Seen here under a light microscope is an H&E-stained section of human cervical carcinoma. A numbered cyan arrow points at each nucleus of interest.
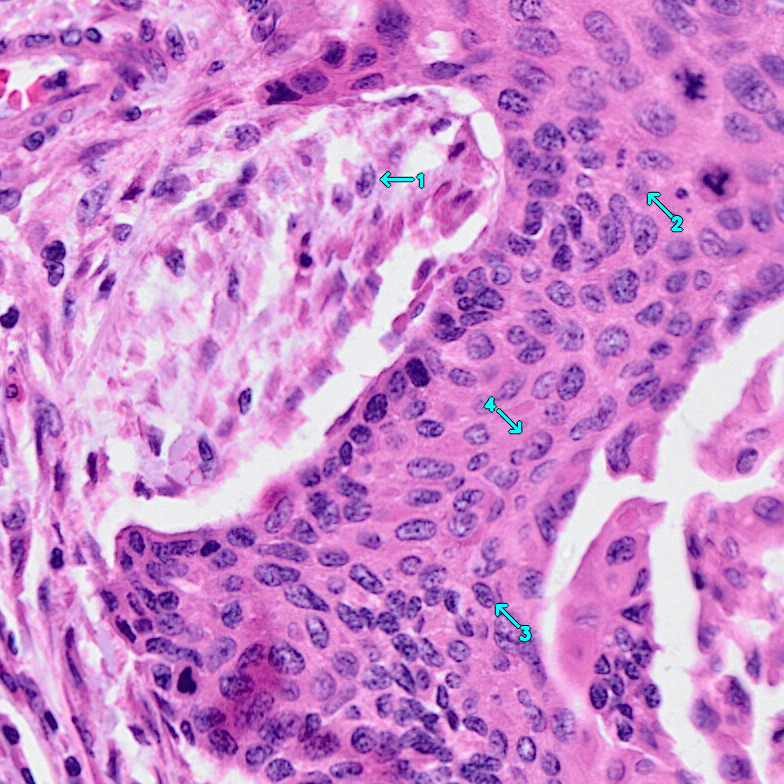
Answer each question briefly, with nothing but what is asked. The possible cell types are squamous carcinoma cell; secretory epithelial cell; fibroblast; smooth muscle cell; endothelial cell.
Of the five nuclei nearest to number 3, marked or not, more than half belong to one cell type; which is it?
squamous carcinoma cell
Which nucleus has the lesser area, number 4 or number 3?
3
